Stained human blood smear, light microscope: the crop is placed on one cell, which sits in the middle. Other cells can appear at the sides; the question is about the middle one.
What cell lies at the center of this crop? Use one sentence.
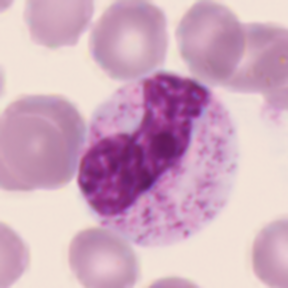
For this crop, the central cell is a band neutrophil.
